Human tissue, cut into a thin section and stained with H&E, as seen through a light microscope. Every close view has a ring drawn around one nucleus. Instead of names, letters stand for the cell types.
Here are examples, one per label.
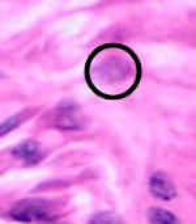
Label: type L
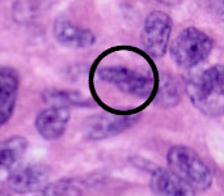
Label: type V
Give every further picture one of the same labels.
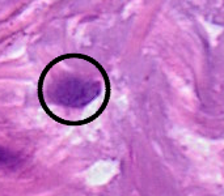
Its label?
type L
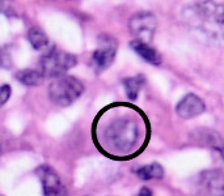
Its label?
type V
